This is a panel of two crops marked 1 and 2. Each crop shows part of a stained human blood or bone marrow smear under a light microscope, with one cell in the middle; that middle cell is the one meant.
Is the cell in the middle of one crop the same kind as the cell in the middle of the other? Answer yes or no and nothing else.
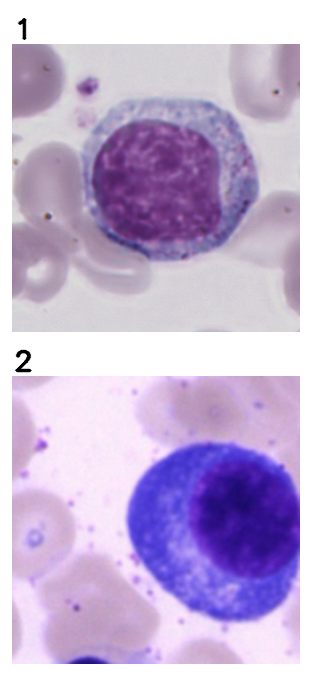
no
